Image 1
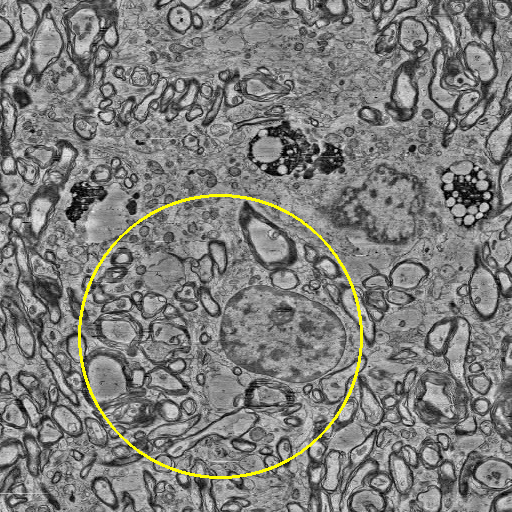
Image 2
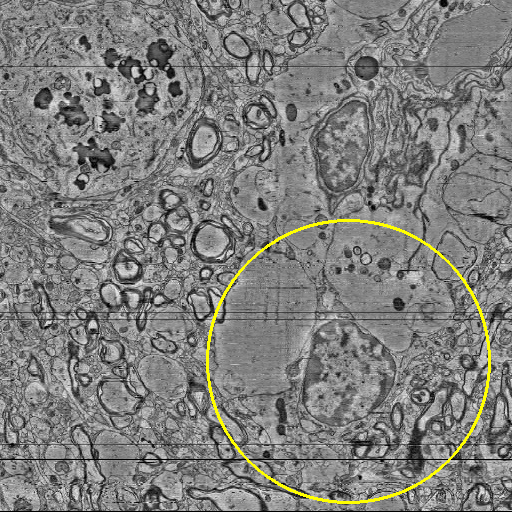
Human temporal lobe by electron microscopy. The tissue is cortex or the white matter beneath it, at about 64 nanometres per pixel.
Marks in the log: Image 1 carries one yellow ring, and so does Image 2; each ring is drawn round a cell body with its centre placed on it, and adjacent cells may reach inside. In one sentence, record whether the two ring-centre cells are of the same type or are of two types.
The two cells at the ring centres, one in each image, are of the same type.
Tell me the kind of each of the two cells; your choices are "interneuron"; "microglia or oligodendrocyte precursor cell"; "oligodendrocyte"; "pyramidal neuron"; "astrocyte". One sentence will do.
The ring centre holds a microglial cell or oligodendrocyte precursor cell in each of the two pictures.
